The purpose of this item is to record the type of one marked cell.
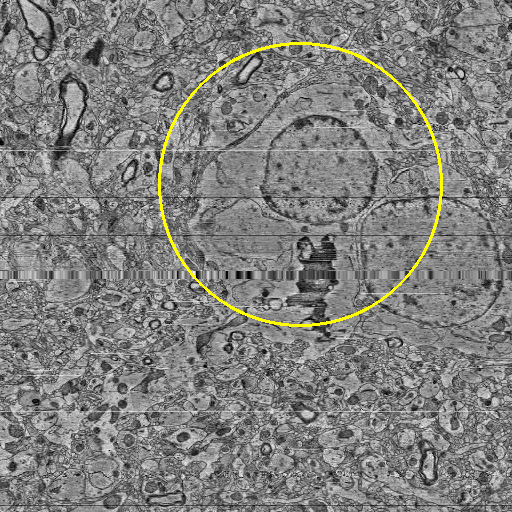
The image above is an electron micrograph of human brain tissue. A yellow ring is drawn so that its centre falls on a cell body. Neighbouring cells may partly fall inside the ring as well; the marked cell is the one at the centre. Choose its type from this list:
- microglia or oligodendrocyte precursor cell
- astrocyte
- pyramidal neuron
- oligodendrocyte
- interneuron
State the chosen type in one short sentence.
What the ring marks here is an astrocyte.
